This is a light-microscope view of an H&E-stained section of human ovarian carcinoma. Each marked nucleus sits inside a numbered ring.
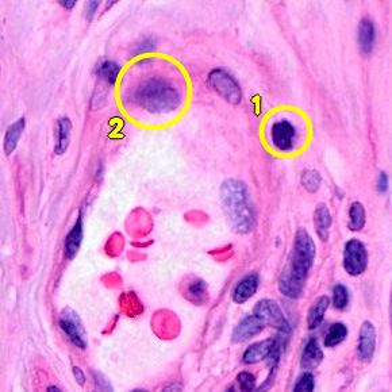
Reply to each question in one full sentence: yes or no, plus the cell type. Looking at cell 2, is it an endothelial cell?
Yes, of the numbered cells, number 2 is an endothelial cell.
